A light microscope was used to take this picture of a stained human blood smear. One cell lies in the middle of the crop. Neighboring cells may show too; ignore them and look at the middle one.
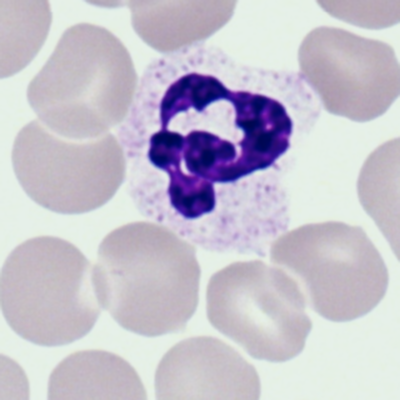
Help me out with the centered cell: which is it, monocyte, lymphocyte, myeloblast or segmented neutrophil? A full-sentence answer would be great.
Positioned in the middle of the crop is a segmented neutrophil.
